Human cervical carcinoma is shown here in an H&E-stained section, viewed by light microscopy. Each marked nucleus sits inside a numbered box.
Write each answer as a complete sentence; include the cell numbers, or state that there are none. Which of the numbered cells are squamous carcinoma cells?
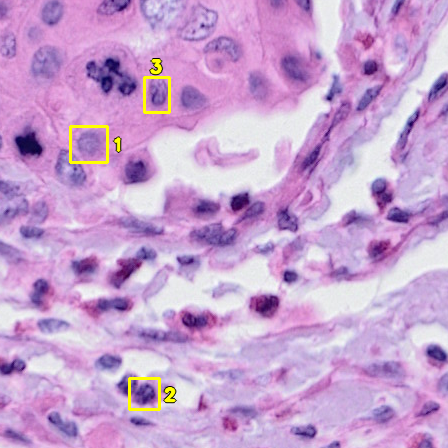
The cells marked 1 and 3 in the section are squamous carcinoma cells.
